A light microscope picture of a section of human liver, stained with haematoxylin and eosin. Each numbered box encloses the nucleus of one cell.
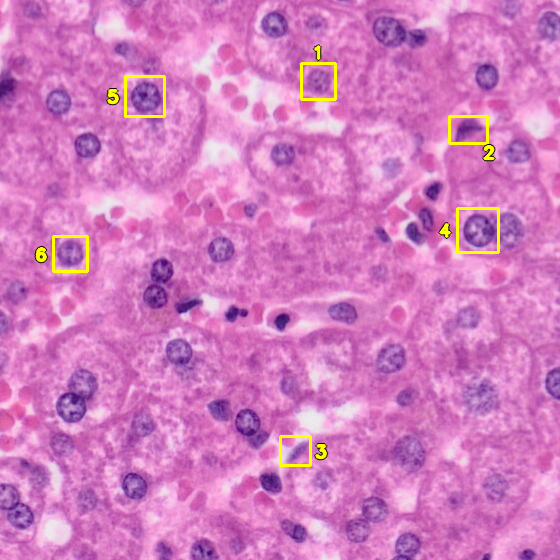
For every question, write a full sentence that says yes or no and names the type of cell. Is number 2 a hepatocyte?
No, cell 2 does not represent a hepatocyte; it represents an endothelial cell.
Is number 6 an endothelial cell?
No, the correct answer for cell 6 is a hepatocyte, not an endothelial cell.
